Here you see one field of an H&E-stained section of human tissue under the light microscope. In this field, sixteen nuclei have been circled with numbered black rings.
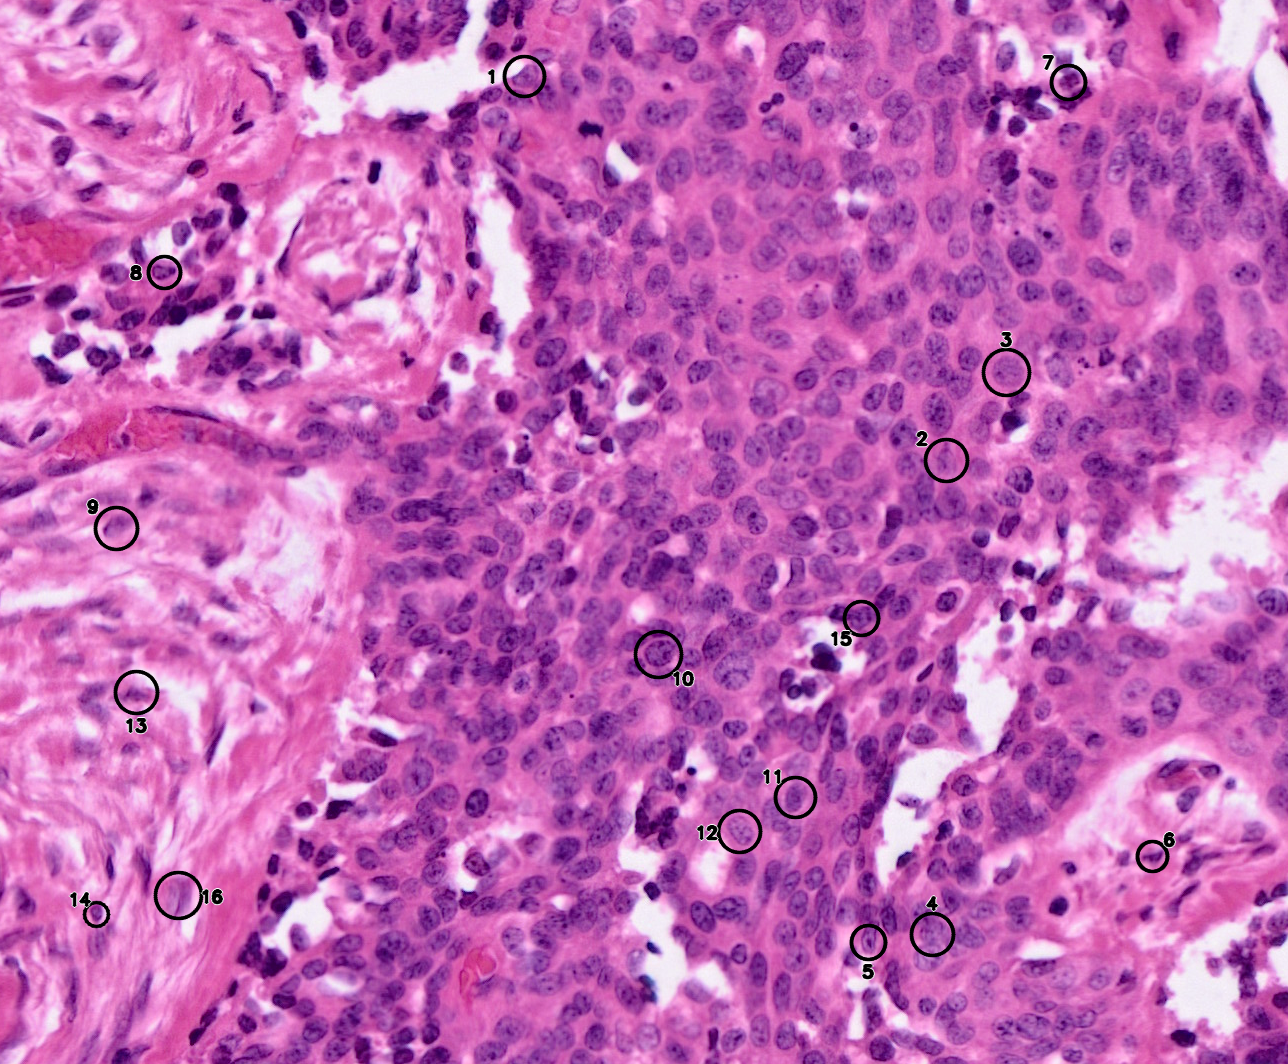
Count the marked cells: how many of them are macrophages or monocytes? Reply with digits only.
2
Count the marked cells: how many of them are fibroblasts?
5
